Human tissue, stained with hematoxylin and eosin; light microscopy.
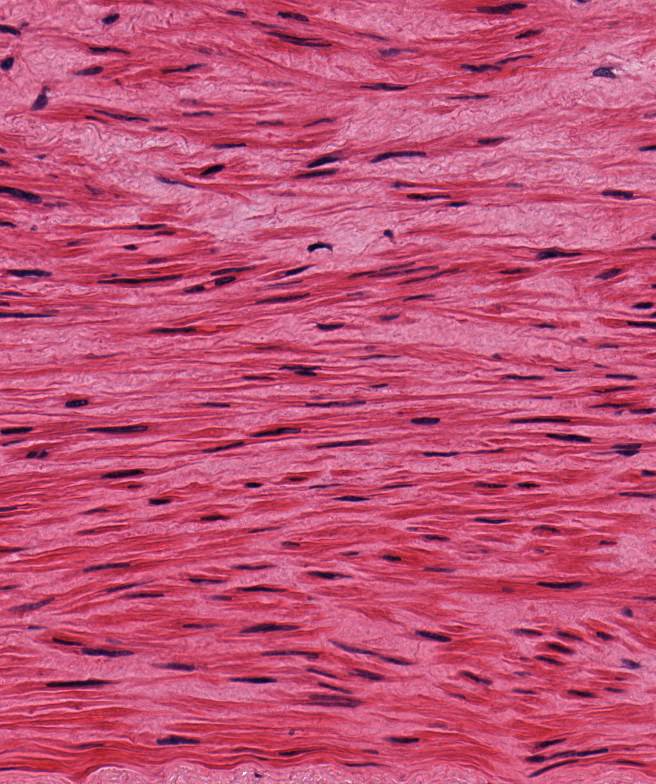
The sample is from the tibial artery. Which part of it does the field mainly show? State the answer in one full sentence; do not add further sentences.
The human tissue part in this section is tunica media.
